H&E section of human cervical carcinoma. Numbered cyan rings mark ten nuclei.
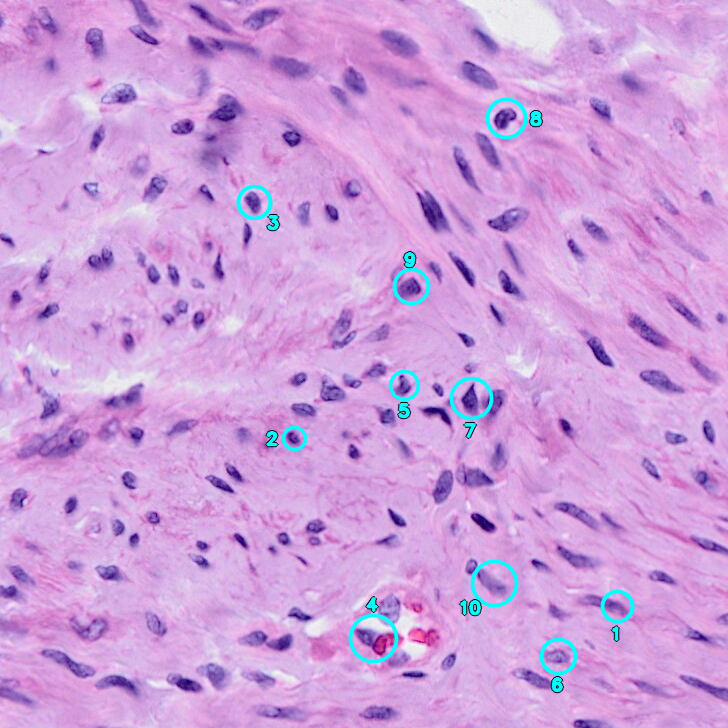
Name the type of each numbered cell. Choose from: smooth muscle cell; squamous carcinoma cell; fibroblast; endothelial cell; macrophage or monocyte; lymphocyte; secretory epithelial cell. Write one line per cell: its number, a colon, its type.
1: smooth muscle cell
2: smooth muscle cell
3: fibroblast
4: endothelial cell
5: fibroblast
6: smooth muscle cell
7: fibroblast
8: lymphocyte
9: fibroblast
10: fibroblast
